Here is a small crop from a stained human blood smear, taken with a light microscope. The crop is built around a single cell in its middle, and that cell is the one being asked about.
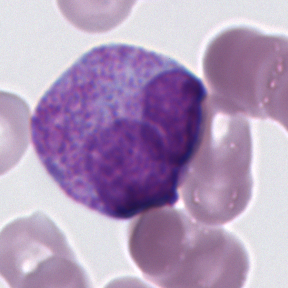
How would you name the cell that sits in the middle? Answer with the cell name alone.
atypical promyelocyte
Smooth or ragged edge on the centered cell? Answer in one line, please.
No projections interrupt the outline; it is smooth all the way round.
